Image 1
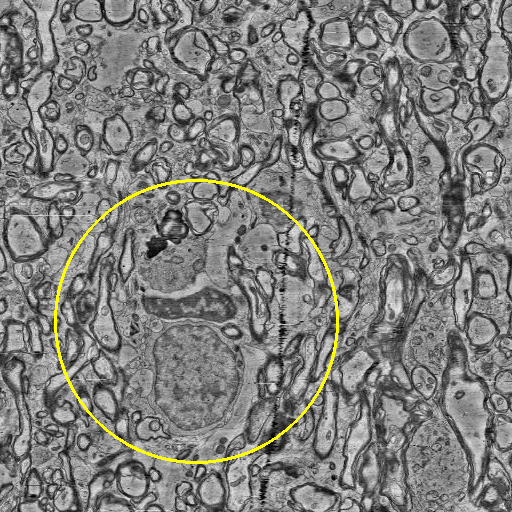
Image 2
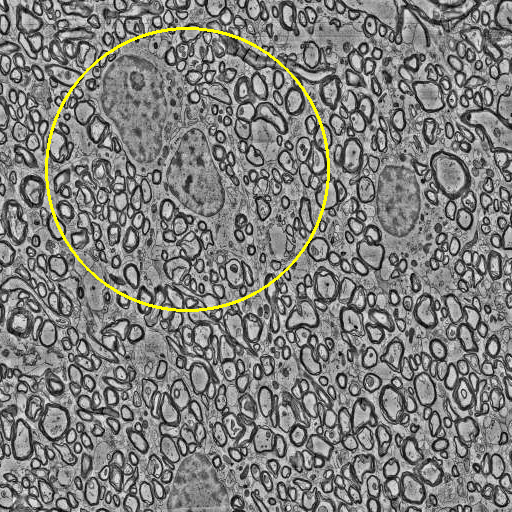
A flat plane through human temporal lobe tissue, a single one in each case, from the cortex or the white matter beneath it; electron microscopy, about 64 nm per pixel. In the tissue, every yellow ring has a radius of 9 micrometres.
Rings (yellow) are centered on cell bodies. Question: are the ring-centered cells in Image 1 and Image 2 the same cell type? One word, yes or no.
yes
